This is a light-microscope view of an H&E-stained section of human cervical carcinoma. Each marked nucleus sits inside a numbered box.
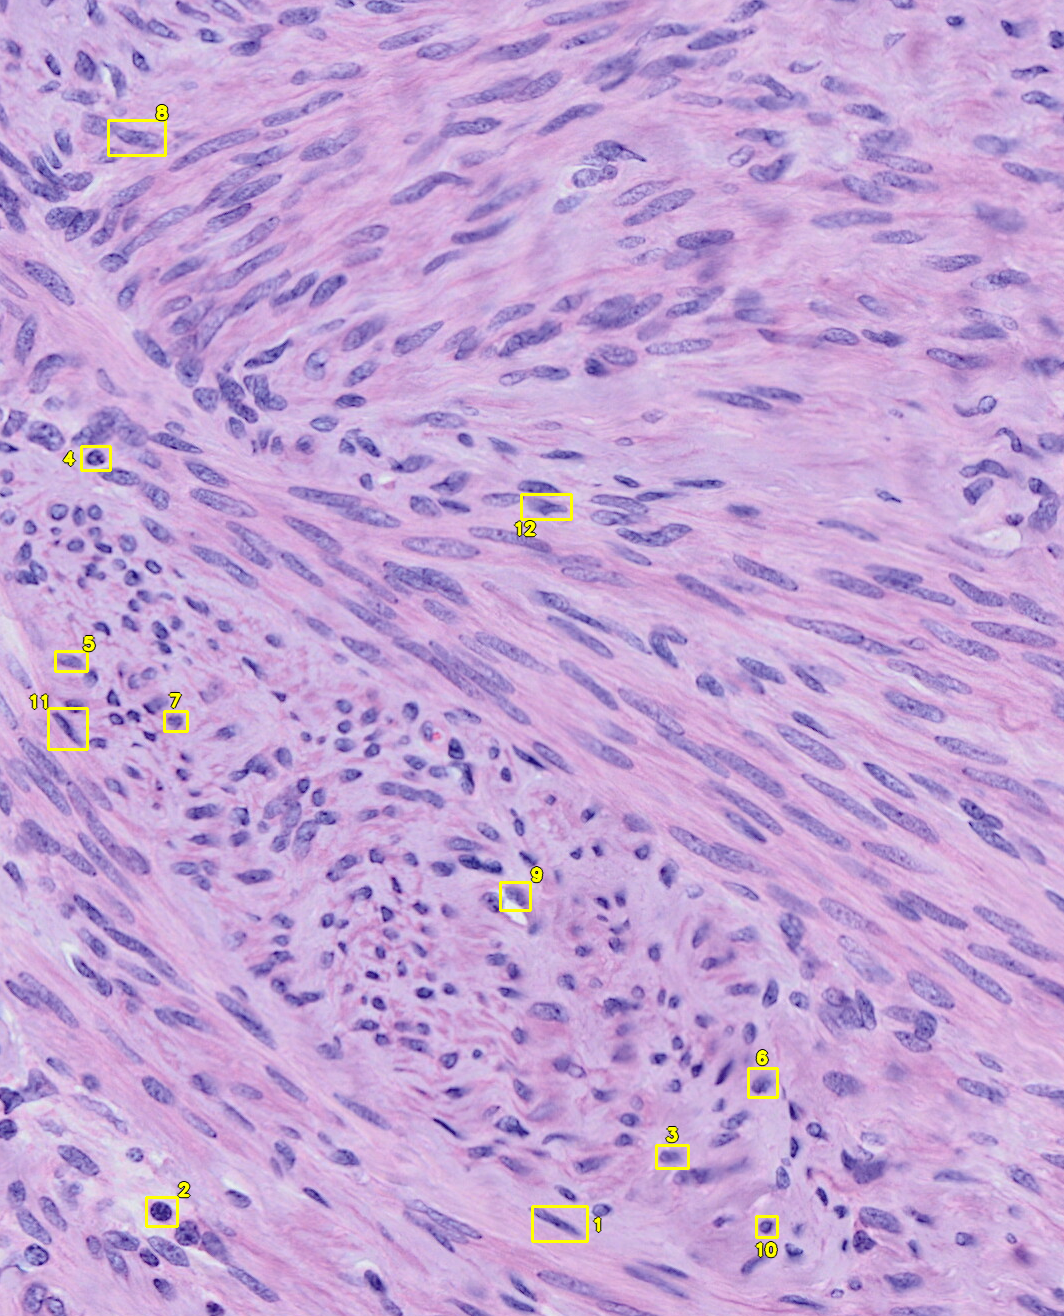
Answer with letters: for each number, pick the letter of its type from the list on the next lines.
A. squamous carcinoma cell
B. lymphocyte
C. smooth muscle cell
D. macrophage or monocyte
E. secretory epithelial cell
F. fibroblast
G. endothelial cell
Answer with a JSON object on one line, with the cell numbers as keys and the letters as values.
{"1": "F", "2": "B", "3": "F", "4": "B", "5": "C", "6": "F", "7": "C", "8": "C", "9": "G", "10": "F", "11": "C", "12": "F"}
